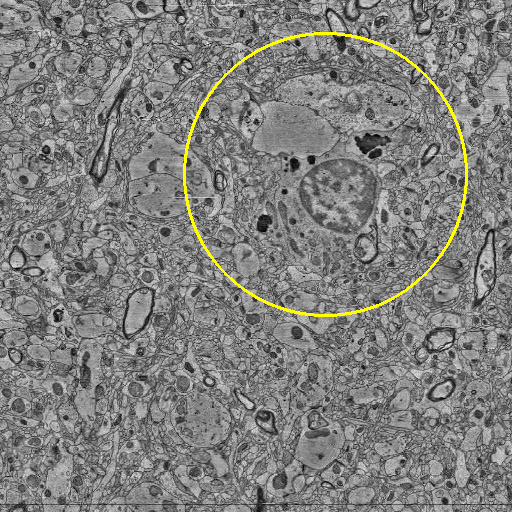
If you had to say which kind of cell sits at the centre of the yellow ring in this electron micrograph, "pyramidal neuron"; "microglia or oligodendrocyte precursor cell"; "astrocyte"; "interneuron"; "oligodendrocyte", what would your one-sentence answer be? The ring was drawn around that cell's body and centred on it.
The cell sitting at the centre of the ring is an oligodendrocyte.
